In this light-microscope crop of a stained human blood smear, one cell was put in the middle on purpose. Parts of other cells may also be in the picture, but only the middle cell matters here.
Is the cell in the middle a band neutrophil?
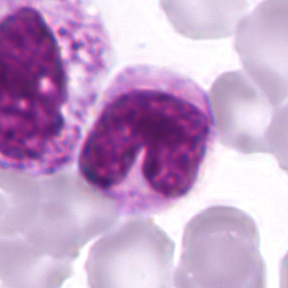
yes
